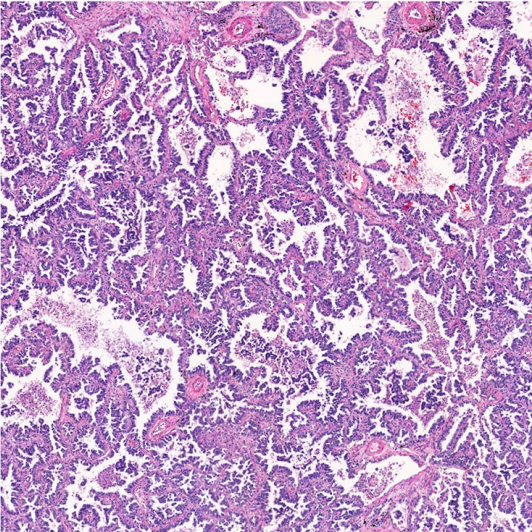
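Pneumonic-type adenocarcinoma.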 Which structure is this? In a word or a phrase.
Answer: mixed papillary and lepidic pattern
